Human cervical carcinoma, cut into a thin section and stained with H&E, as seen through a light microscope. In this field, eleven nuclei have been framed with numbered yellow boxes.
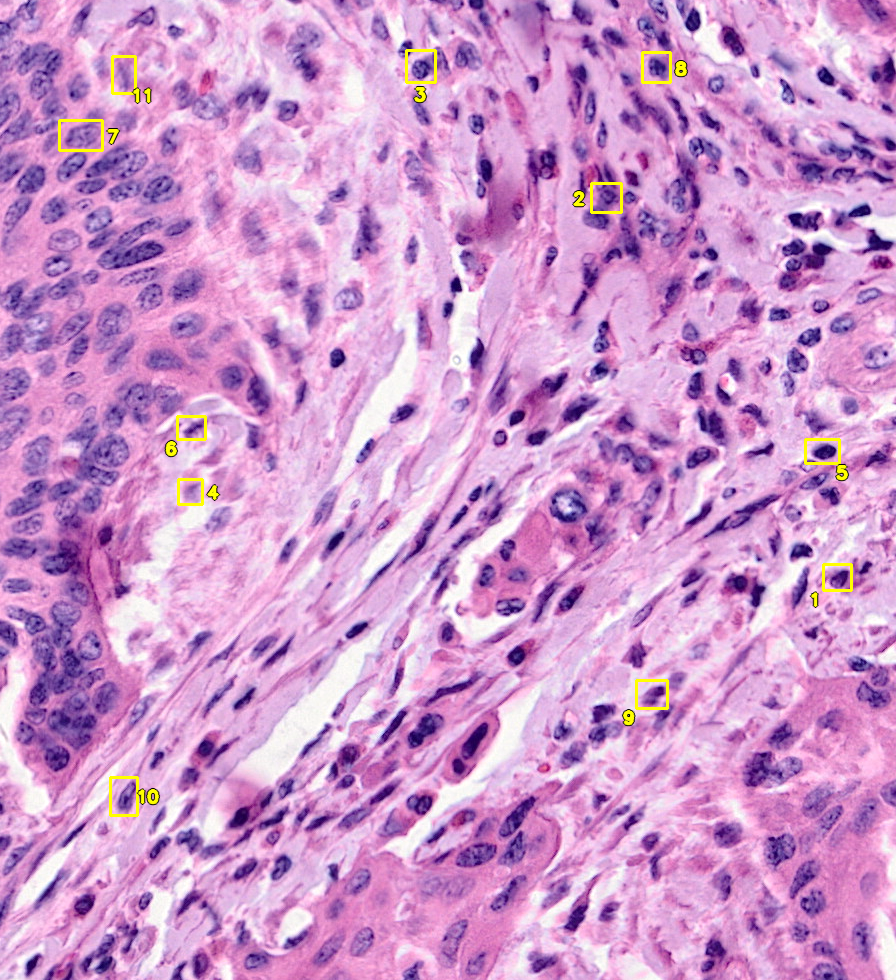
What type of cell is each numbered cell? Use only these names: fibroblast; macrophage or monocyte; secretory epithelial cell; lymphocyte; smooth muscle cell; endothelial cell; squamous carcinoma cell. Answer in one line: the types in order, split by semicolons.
macrophage or monocyte; endothelial cell; lymphocyte; fibroblast; lymphocyte; fibroblast; squamous carcinoma cell; lymphocyte; fibroblast; macrophage or monocyte; fibroblast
